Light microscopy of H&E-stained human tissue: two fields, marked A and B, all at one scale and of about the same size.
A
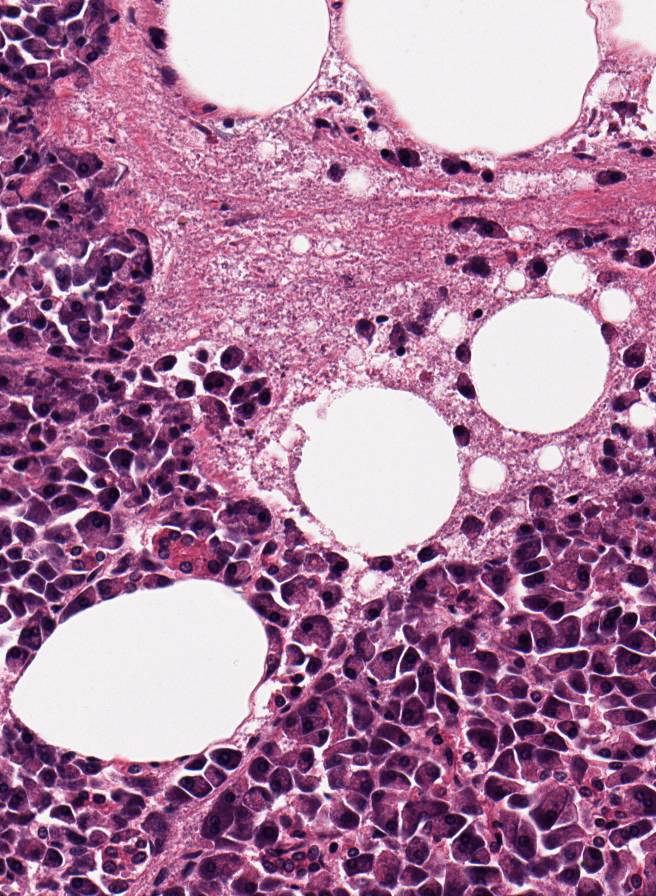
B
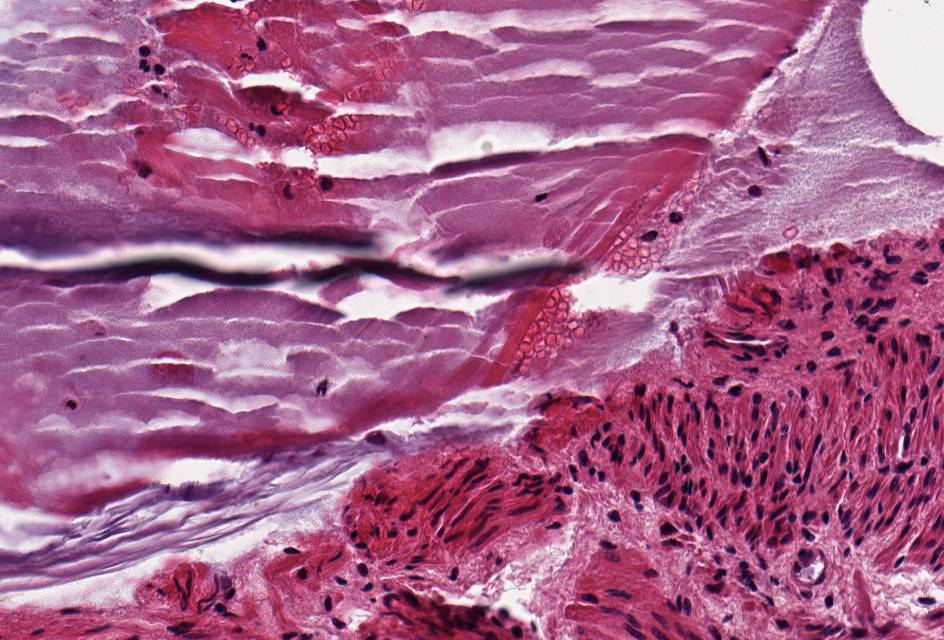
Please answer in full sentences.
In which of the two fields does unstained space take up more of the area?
It is field A in which white space covers the larger part.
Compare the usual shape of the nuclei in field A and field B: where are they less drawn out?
The nuclei are rounder in field A.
